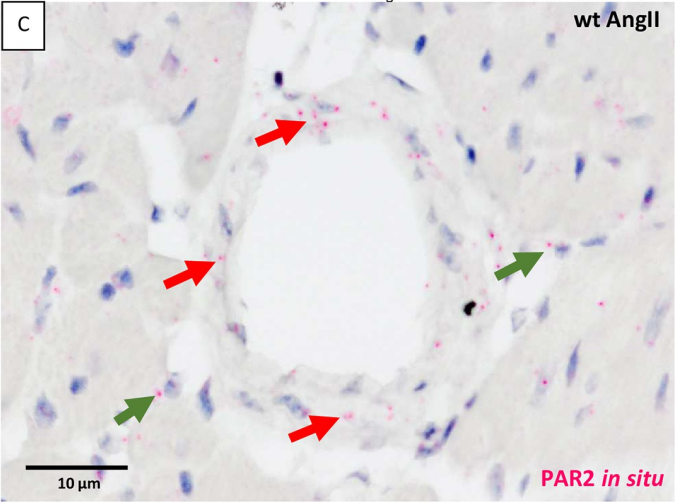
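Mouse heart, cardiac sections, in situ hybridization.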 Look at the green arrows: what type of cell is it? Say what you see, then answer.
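The arrows point to small nuclei lying between muscle fibers outside the vessel wall. That points to this answer: interstitial cells.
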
